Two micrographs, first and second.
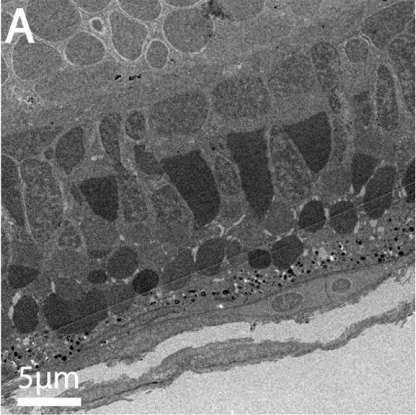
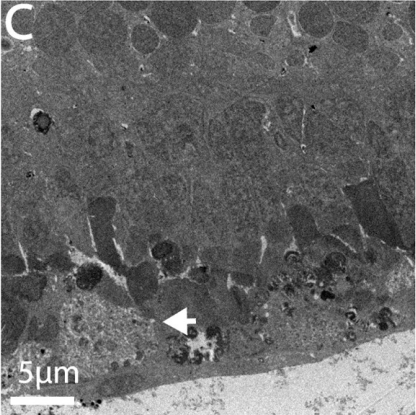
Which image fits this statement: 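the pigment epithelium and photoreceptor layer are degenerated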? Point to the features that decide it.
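Second image: the layers are indistinct, with a pale vacuolated area holding dark clumps of debris. First image: orderly rows of elongated profiles lie above a band packed with small black pigment granules.
Hence: the second image.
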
